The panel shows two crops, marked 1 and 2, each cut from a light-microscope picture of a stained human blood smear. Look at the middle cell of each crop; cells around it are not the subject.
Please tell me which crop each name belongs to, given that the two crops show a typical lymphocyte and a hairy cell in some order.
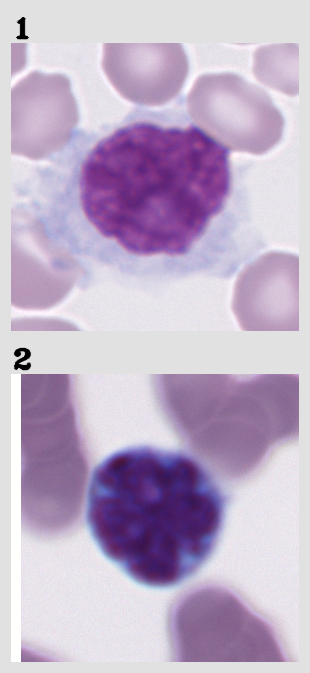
1: hairy cell
2: typical lymphocyte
